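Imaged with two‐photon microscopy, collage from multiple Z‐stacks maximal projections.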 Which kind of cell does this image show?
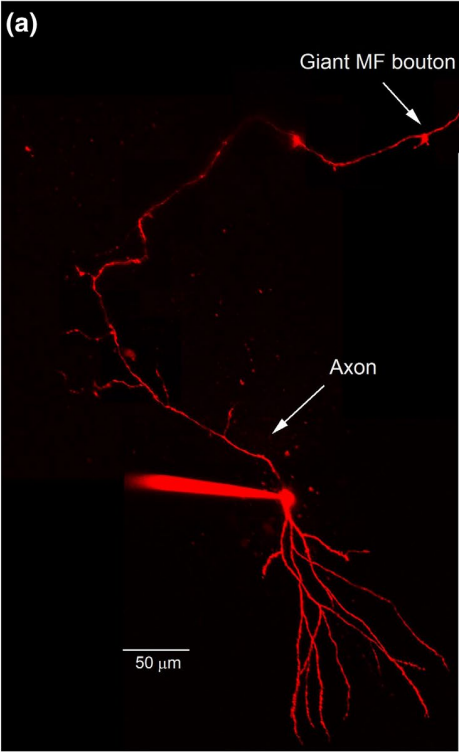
Granule cell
